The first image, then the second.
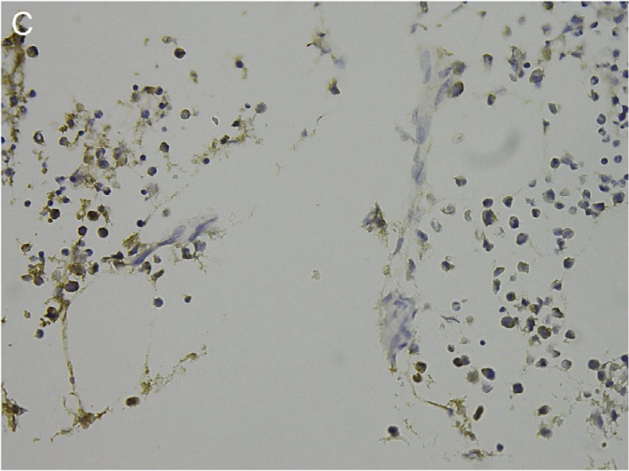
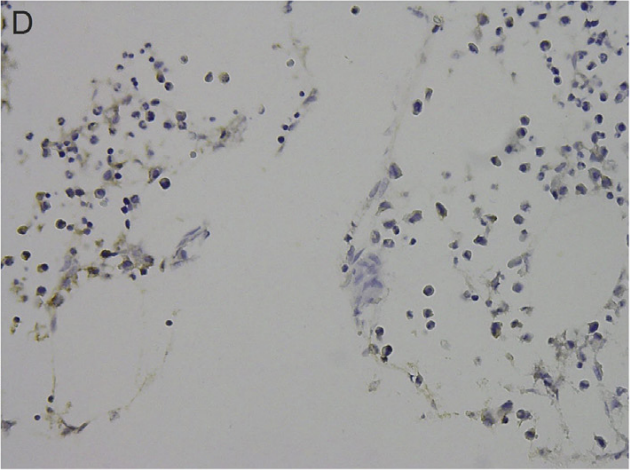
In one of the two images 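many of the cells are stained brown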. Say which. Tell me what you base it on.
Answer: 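The first image. Second image: the cells are mostly blue with only faint brown background. First image: many round cells and the material around them are brown.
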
